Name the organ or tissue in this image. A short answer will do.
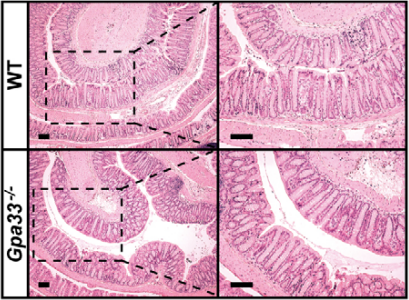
colon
